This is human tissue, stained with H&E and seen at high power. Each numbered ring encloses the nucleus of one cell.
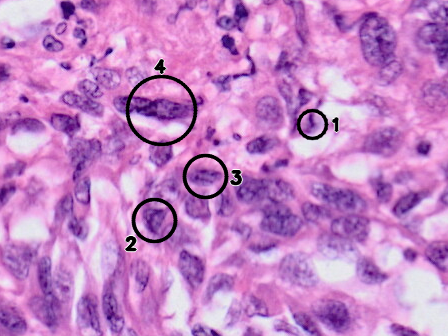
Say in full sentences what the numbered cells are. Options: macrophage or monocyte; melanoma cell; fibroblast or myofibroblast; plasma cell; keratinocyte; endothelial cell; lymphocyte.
Cell 1 is a fibroblast or myofibroblast. Cells 2, 3 and 4 are melanoma cells.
